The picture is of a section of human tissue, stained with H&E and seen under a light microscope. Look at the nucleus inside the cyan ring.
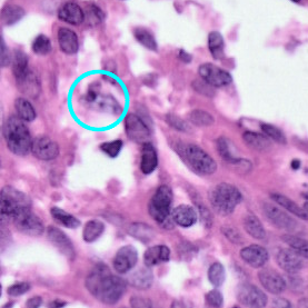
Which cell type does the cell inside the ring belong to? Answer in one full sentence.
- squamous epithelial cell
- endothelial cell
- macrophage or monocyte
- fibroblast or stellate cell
Just put down that the cell inside the ring is a macrophage or monocyte.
